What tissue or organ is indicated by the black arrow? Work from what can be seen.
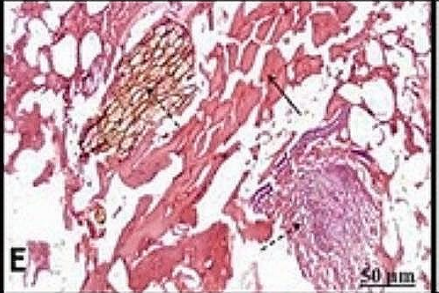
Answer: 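Muscular tissue. Arrow points to fragmented strands of deep pink, homogeneous eosinophilic tissue.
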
